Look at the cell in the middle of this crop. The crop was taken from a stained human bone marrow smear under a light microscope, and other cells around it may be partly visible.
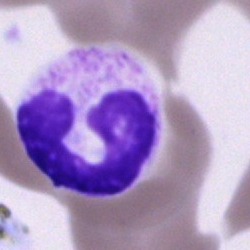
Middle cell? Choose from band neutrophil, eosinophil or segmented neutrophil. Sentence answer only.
Whatever else lies nearby, the middle cell is a band neutrophil.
